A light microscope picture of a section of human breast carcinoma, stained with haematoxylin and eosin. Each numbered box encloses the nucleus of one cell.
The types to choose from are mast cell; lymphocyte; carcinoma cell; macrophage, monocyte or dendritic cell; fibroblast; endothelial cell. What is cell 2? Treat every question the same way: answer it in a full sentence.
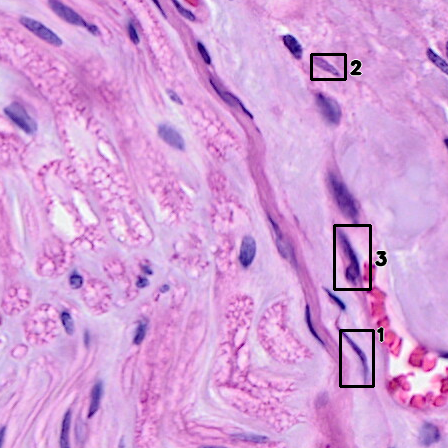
In this section, number 2 marks a fibroblast.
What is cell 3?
The cell with the number 3 is an endothelial cell.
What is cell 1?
The cell that is numbered 1 is a fibroblast.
